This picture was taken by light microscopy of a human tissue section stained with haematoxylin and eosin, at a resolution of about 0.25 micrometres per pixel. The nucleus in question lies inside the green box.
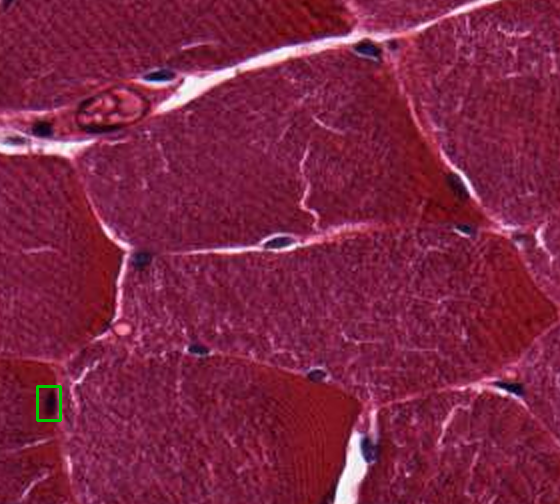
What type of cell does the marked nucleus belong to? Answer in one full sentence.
The marked nucleus is that of a skeletal muscle fibre in this section.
